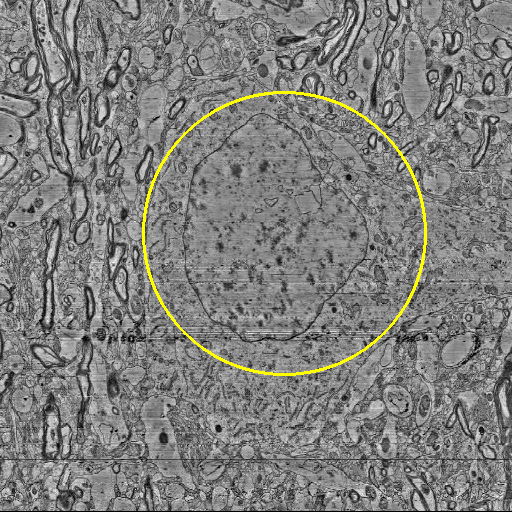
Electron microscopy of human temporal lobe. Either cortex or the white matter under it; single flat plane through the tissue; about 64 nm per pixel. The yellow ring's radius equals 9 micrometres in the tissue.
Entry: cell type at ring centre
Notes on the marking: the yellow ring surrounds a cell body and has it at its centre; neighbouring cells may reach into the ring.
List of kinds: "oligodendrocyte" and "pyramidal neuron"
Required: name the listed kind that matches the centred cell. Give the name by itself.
pyramidal neuron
